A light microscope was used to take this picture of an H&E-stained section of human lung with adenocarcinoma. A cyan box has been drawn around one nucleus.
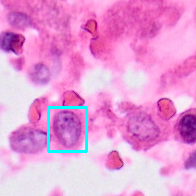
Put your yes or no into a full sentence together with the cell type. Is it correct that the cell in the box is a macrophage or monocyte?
Yes, the identification stands: the cell in the box is a macrophage or monocyte.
